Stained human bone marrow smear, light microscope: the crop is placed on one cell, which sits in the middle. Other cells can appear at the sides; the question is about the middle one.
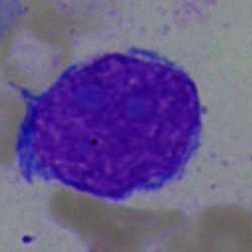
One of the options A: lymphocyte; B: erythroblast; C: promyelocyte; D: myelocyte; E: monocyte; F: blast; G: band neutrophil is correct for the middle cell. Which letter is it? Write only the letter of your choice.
F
